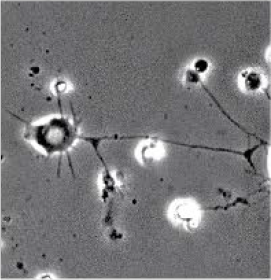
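Thin neurites extend from some cell bodies, running across the field and occasionally joining other cells. Most cells carry only short or few processes, and some appear as round bodies without obvious neurites. Small dark particles of debris are scattered over the grey background.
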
